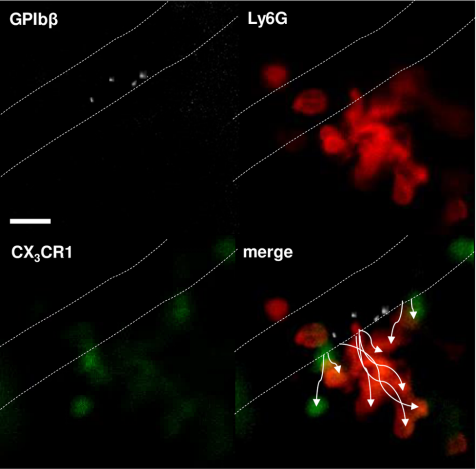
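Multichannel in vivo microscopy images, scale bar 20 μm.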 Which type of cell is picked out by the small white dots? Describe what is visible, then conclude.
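Platelets. Small white dots lie between the two dashed lines. The white dots are much smaller than the red and green cells.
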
